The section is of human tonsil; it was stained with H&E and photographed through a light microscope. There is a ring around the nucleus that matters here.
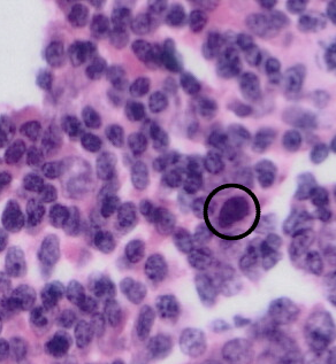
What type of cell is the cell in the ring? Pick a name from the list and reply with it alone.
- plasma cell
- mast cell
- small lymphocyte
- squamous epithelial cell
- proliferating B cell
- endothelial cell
proliferating B cell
